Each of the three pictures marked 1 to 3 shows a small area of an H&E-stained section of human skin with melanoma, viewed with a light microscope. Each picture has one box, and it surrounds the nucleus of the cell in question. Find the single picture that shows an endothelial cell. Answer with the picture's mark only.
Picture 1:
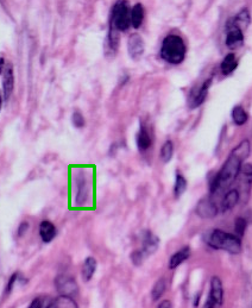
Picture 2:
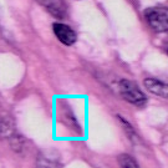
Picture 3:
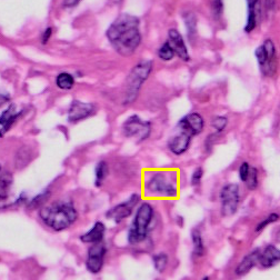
2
